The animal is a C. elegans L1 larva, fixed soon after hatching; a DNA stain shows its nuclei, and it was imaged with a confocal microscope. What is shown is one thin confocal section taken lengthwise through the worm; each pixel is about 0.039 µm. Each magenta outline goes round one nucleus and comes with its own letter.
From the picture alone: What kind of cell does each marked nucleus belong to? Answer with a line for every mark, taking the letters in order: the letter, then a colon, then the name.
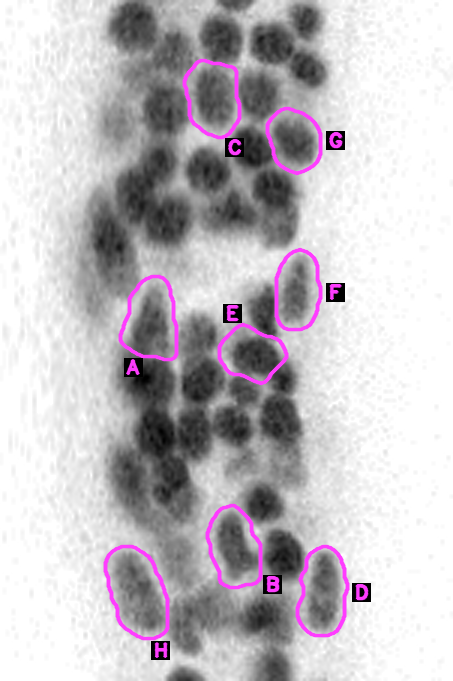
A: glial cell (sheath or socket)
B: pharyngeal muscle cell
C: neuron
D: body wall muscle cell
E: neuron
F: body wall muscle cell
G: neuron
H: body wall muscle cell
